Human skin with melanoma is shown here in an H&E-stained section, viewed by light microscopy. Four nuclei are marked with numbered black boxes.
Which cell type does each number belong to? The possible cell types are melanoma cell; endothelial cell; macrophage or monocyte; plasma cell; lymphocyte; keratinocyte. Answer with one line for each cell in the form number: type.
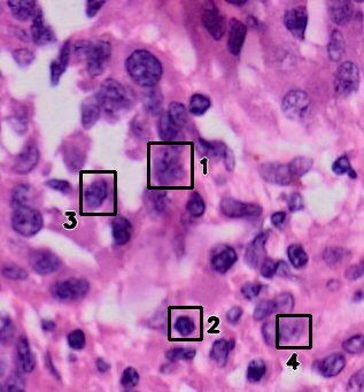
1: melanoma cell
2: lymphocyte
3: melanoma cell
4: endothelial cell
